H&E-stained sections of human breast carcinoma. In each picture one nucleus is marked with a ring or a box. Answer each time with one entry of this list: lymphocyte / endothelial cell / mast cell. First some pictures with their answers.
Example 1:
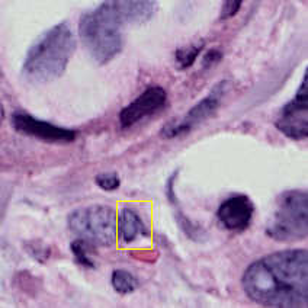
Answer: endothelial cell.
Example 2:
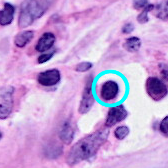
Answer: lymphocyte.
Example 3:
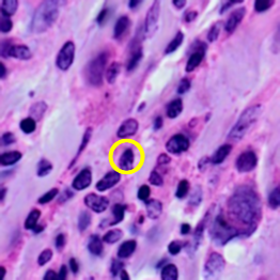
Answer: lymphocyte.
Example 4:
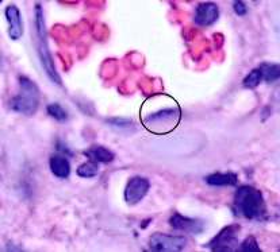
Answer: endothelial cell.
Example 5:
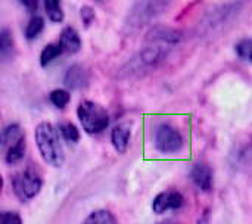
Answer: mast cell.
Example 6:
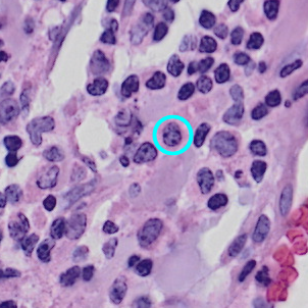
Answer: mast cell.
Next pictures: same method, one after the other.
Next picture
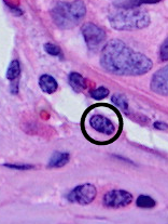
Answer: mast cell.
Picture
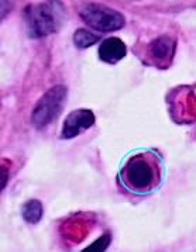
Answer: mast cell.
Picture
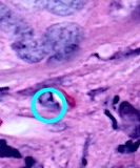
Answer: endothelial cell.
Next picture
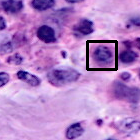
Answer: mast cell.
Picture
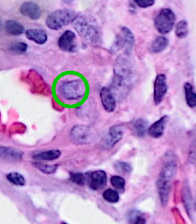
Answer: endothelial cell.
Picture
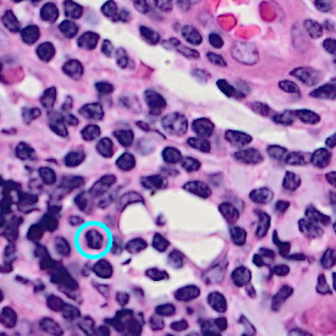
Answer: lymphocyte.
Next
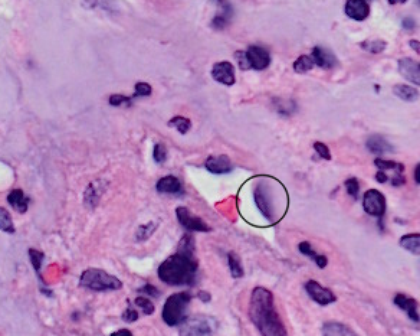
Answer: endothelial cell.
